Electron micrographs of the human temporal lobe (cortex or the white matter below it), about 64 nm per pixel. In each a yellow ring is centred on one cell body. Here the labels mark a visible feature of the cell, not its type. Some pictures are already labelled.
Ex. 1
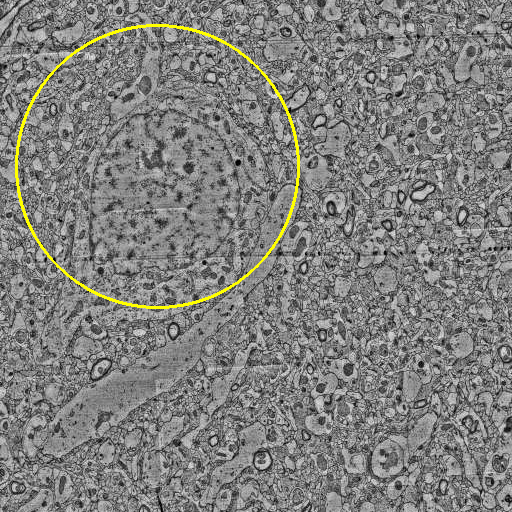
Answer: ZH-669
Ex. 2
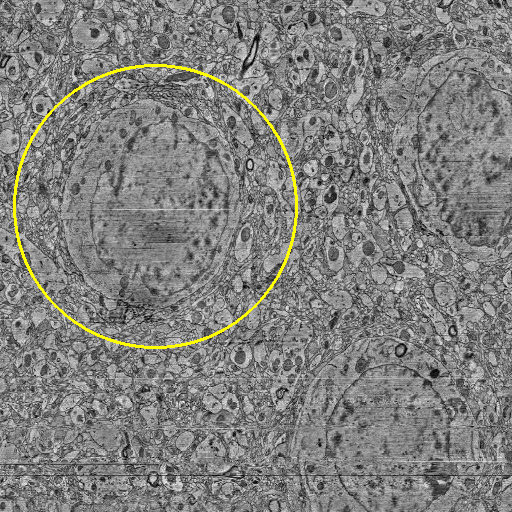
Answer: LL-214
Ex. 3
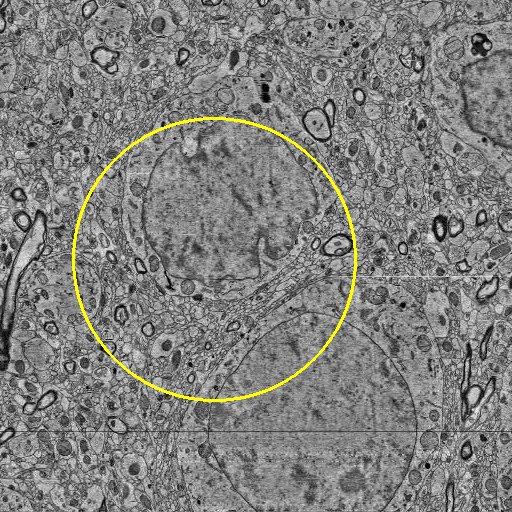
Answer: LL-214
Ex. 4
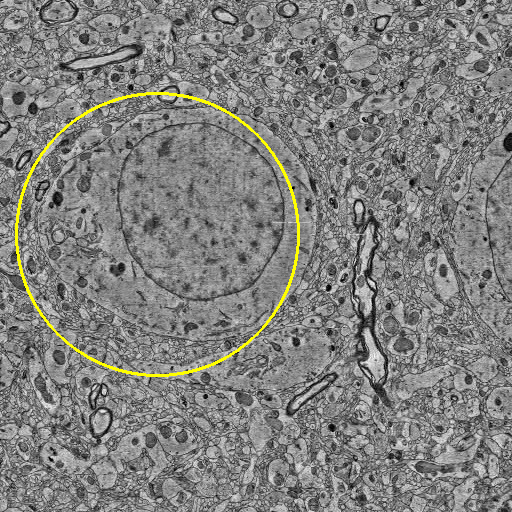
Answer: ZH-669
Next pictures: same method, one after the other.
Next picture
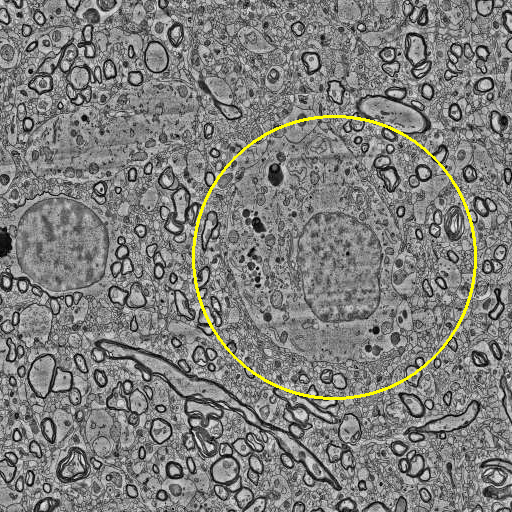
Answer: ZH-669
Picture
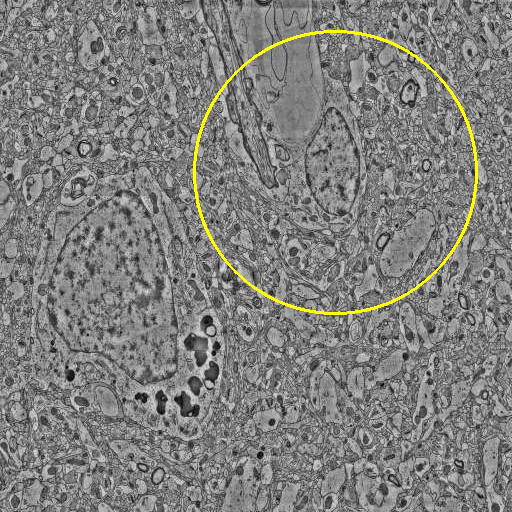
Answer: ZH-669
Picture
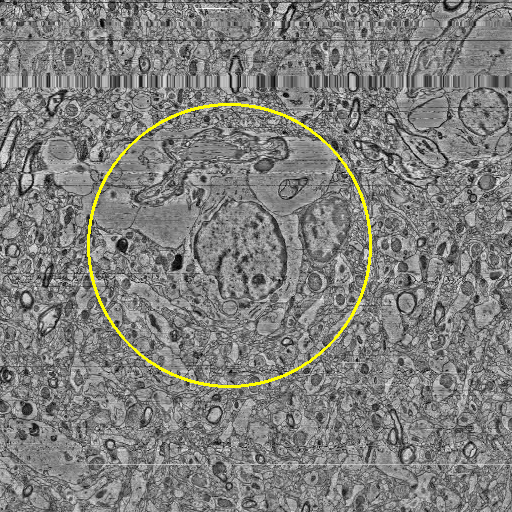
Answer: LL-214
